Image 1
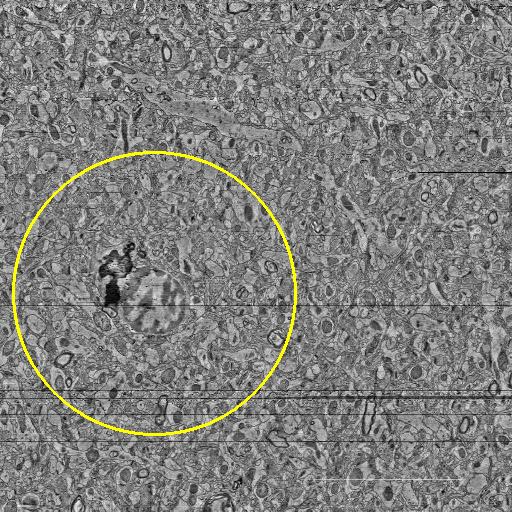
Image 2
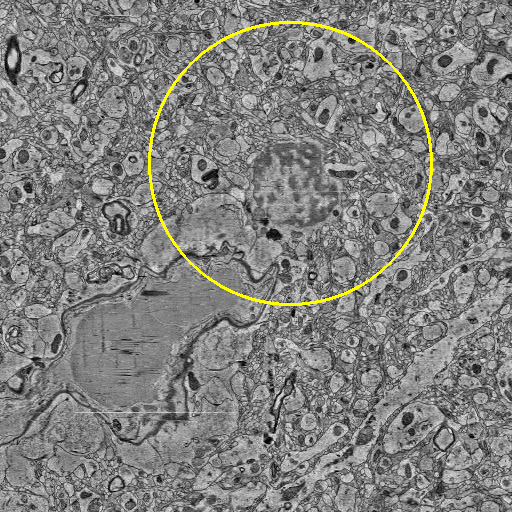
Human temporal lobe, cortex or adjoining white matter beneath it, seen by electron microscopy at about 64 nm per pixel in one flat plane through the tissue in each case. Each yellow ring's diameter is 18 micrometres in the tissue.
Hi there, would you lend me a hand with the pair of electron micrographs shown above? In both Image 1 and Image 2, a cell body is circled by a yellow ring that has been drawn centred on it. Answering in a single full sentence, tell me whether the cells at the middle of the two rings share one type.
Yes, the ringed cells in Image 1 and Image 2 share one type.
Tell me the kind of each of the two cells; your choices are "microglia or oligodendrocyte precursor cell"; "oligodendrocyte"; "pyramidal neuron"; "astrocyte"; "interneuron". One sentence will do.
Each cell, in the first picture and the second, is an oligodendrocyte.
